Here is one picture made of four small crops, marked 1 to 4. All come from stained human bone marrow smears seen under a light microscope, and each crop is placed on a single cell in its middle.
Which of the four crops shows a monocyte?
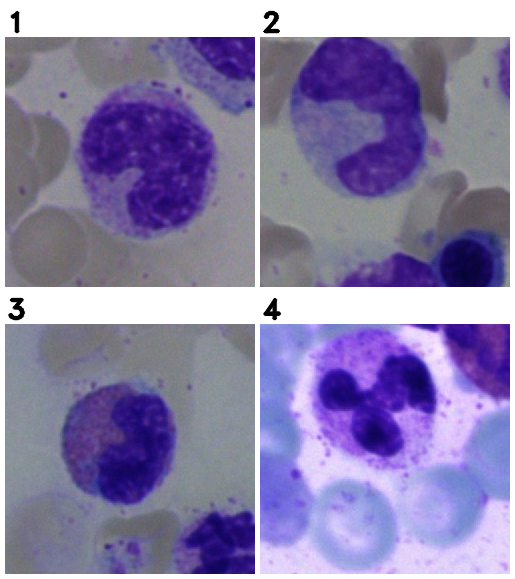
2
